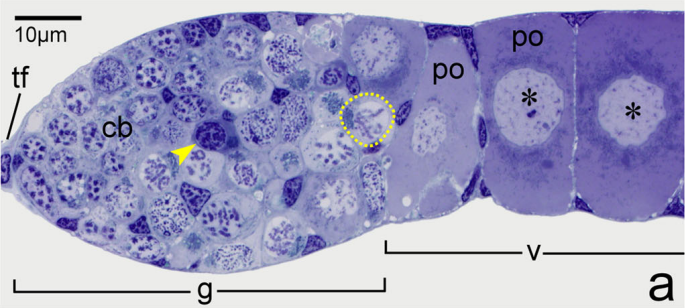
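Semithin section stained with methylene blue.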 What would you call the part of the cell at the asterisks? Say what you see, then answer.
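Each asterisk sits in a large pale round body centred in a big cell. The pale body holds a few small dark spots and is ringed by darker cytoplasm.
Oocyte nuclei.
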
